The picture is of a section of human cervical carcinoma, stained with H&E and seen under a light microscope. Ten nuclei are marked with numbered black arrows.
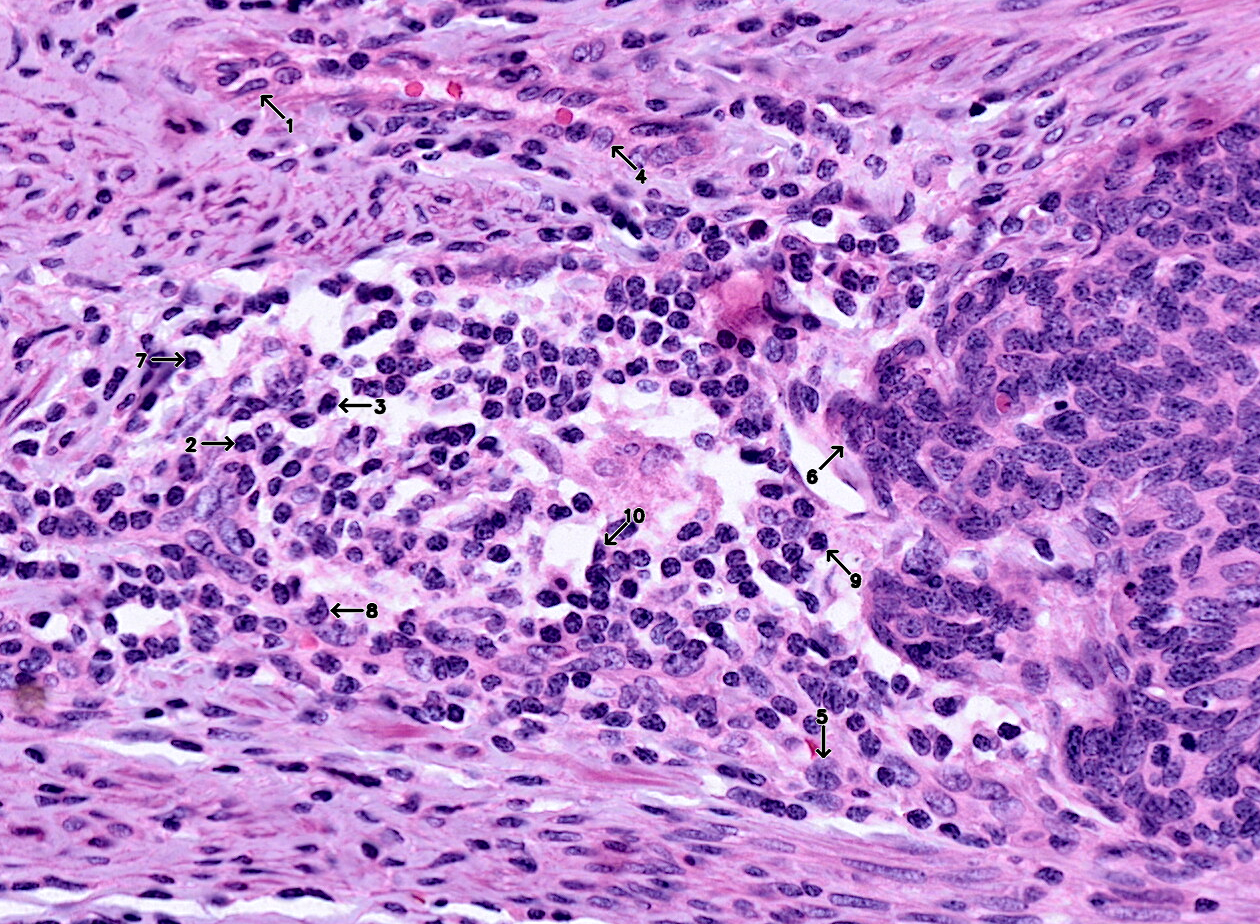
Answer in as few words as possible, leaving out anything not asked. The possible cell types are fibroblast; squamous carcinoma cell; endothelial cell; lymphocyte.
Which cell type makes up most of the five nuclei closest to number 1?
endothelial cell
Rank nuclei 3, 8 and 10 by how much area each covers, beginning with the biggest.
8, 3, 10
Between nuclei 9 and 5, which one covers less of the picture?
9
